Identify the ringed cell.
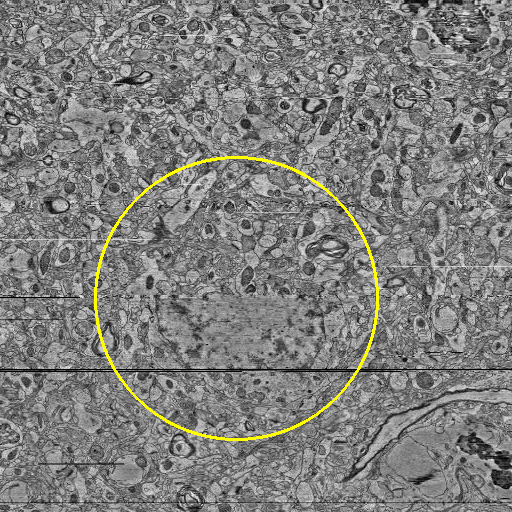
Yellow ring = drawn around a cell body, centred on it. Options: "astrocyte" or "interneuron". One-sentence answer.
What the ring is centred on is an interneuron.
